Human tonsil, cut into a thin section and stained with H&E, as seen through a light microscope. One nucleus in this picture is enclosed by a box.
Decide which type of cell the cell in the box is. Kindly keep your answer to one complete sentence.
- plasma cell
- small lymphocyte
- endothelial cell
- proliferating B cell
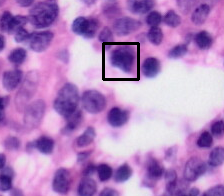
In cellular terms, the cell in the box is a proliferating B cell.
